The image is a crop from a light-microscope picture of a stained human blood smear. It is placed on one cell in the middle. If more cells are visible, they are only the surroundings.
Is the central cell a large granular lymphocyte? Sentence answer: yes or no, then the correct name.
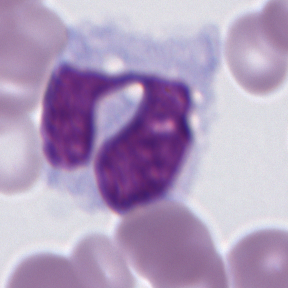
No, in the centre of the crop lies a monocyte, not a large granular lymphocyte.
